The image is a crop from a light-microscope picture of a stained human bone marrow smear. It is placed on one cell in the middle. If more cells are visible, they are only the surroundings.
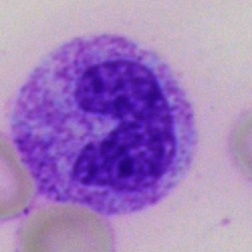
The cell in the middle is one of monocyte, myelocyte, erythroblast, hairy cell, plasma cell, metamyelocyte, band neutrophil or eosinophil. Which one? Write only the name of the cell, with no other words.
band neutrophil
